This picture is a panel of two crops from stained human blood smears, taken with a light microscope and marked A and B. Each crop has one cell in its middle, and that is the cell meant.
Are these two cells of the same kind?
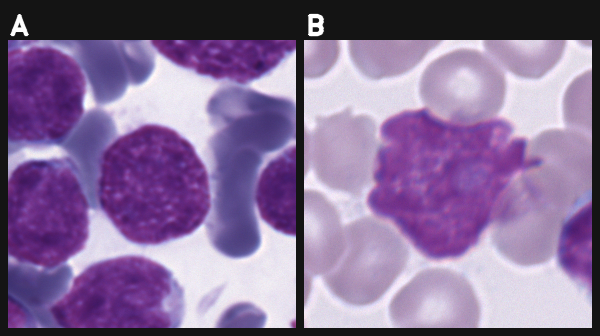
no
